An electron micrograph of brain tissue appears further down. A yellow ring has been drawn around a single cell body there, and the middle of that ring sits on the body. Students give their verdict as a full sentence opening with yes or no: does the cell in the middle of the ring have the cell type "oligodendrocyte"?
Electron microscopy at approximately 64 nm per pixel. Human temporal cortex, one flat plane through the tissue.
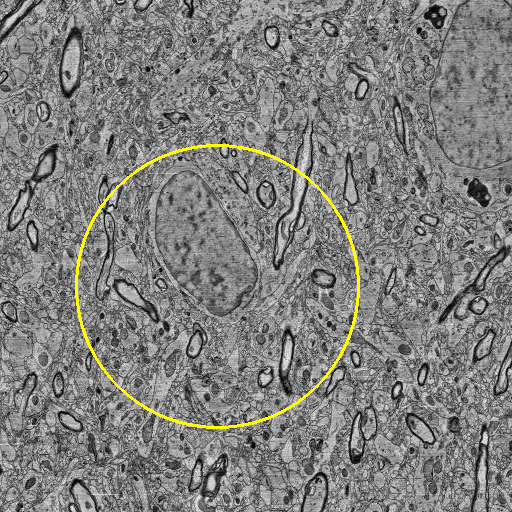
No, in this picture the cell sitting at the middle of the ring has a different cell type.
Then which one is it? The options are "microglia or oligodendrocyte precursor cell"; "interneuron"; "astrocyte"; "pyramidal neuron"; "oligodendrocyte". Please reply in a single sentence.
The cell in the ring is a microglial cell or oligodendrocyte precursor cell instead.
